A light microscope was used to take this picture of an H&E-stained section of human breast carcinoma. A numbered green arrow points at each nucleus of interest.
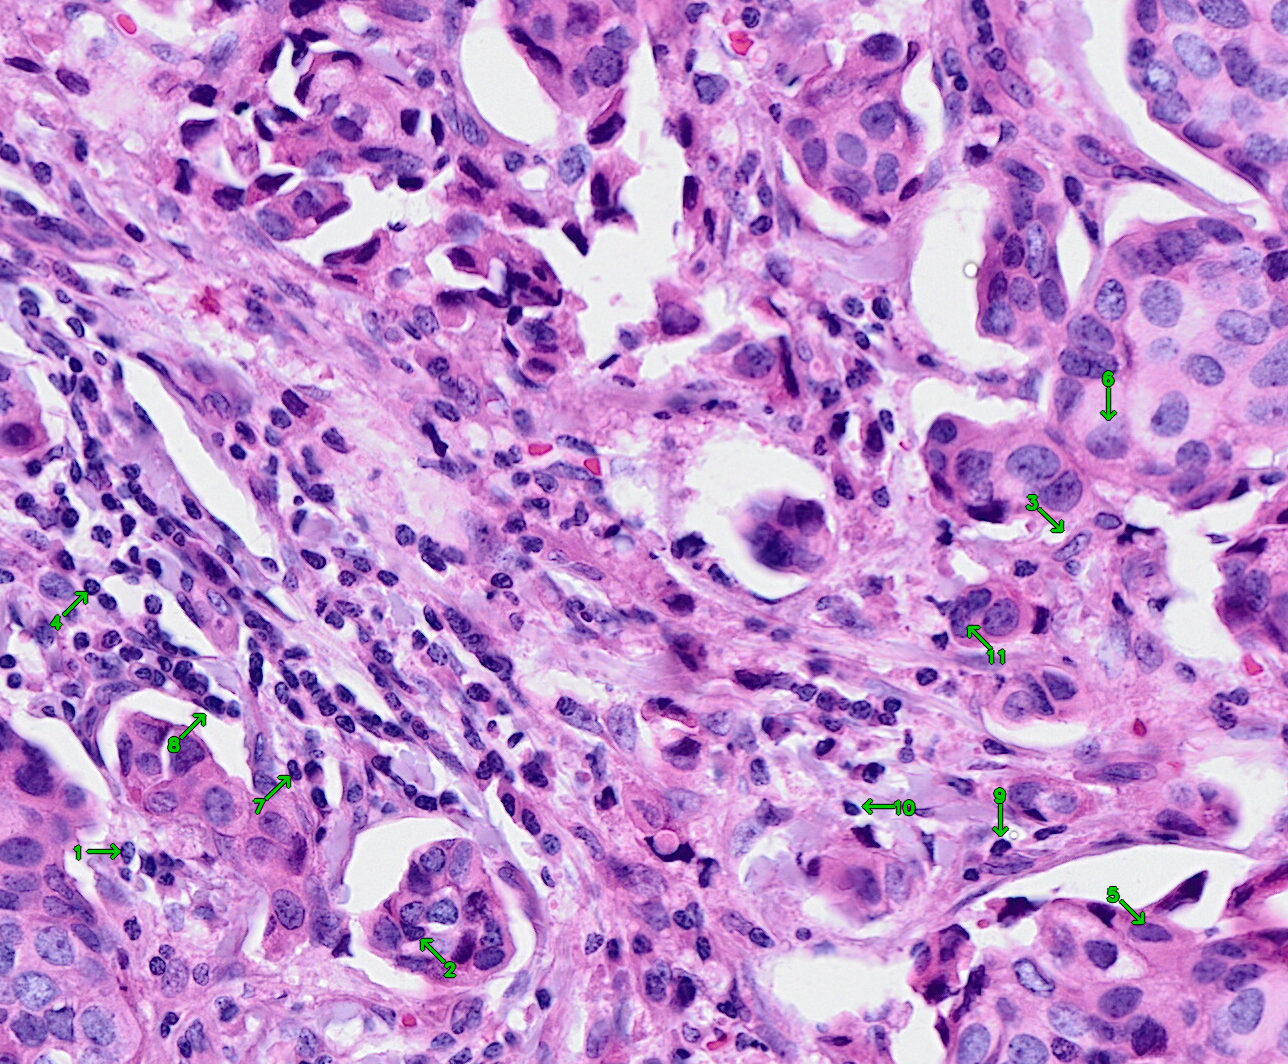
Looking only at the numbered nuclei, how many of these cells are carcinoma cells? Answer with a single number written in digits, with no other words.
4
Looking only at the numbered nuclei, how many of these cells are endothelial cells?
1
